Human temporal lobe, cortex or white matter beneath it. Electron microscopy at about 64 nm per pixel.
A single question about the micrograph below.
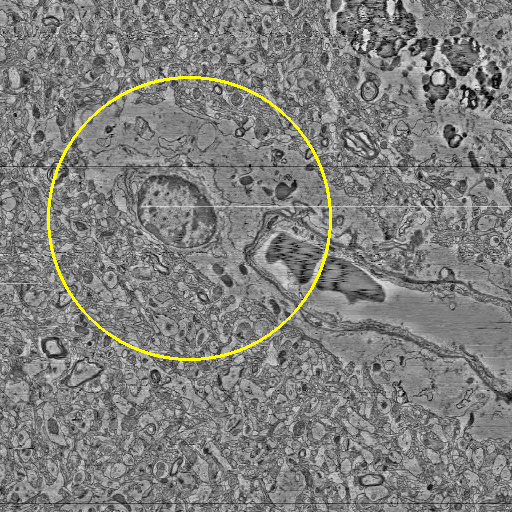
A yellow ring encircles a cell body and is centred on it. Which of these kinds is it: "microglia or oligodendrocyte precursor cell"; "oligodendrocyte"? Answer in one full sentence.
The cell body at the centre of the yellow ring belongs to a microglial cell or oligodendrocyte precursor cell.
